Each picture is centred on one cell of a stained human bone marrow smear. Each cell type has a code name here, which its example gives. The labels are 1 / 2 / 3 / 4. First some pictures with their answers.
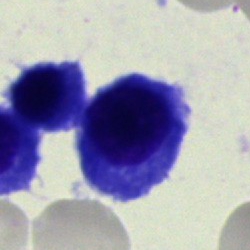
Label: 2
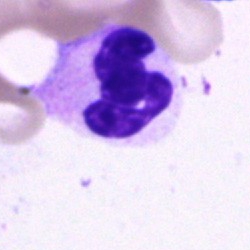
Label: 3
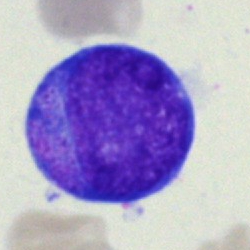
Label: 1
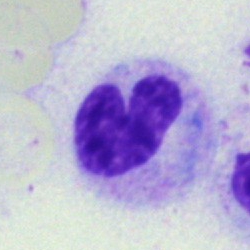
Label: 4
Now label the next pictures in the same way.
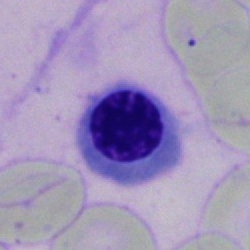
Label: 2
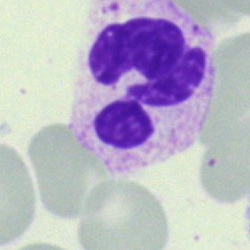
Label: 3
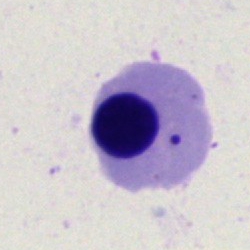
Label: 2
